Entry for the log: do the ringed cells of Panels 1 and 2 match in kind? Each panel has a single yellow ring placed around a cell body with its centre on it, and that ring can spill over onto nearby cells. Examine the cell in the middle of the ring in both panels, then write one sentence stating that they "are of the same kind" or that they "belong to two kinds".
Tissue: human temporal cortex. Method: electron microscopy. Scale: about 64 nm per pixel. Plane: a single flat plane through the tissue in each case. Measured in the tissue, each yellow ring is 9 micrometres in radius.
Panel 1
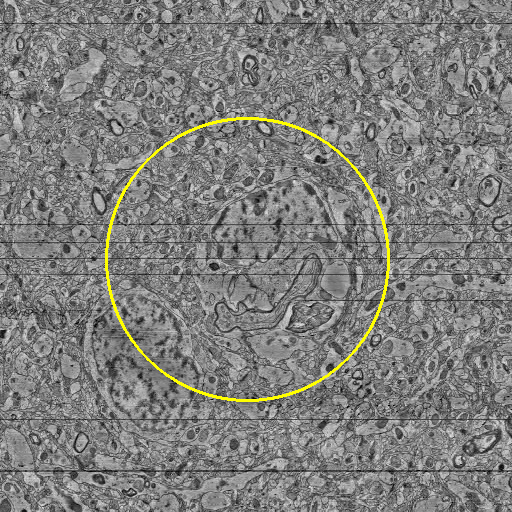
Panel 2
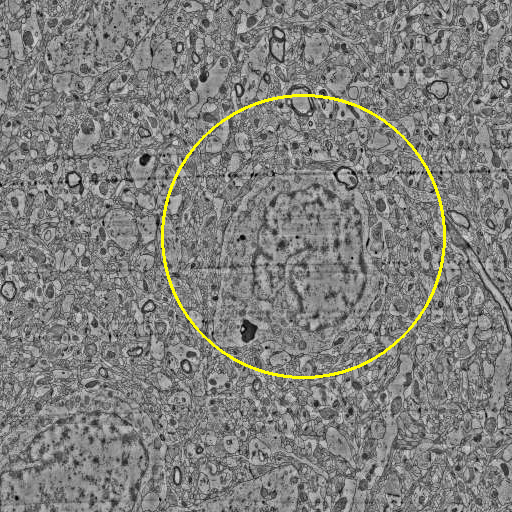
The centre cell of Panel 1's ring and that of Panel 2's ring belong to two kinds.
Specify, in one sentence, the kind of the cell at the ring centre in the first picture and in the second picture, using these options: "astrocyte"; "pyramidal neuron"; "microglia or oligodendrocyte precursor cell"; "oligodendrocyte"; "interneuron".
So the first is a microglial cell or oligodendrocyte precursor cell, the second an interneuron.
